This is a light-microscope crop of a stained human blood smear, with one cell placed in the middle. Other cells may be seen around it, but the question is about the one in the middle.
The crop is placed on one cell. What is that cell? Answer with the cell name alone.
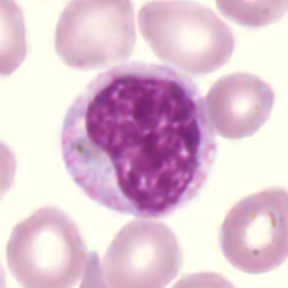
metamyelocyte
